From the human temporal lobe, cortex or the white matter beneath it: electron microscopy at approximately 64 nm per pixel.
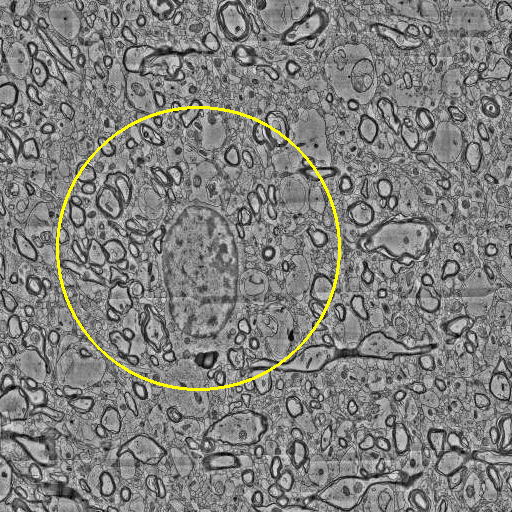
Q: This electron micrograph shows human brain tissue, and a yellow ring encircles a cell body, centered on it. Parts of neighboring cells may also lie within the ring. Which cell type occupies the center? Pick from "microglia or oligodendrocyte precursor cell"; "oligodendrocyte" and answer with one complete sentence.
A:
What sits at the ring's center in this micrograph is an oligodendrocyte, among those choices.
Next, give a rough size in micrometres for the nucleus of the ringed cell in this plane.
In this plane the nucleus measures about 8 by 5 micrometres and is clearly longer than it is wide.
